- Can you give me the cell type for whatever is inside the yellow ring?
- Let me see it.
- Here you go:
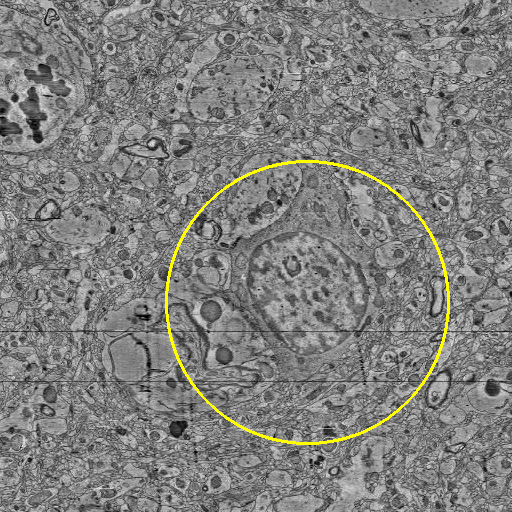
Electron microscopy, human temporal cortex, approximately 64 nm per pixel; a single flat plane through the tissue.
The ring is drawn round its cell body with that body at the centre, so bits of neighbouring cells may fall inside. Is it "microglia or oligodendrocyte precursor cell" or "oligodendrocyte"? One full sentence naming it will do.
The cell body in the middle of the ring in this picture belongs to an oligodendrocyte.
